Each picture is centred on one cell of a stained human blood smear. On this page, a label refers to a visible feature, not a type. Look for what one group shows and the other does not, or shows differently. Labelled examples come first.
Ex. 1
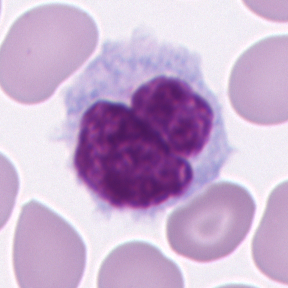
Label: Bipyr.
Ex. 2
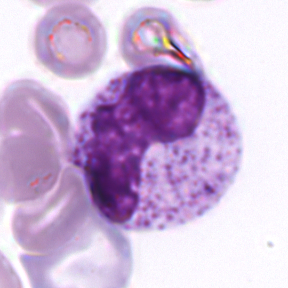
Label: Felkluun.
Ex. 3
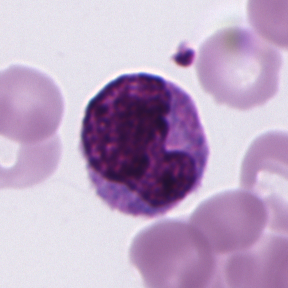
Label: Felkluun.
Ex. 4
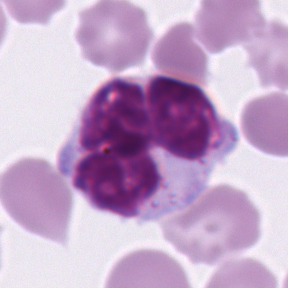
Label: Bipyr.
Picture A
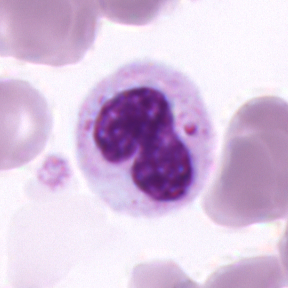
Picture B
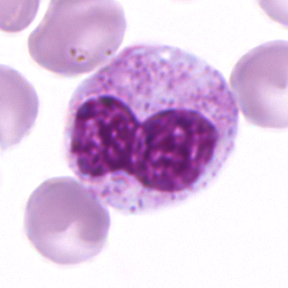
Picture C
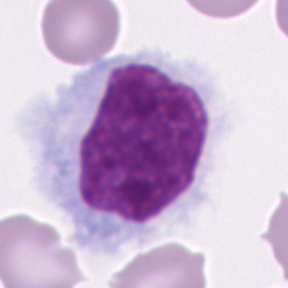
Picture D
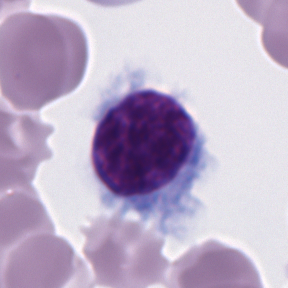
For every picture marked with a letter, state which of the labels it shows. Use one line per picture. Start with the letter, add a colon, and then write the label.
A: Bipyr.
B: Bipyr.
C: Felkluun.
D: Felkluun.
